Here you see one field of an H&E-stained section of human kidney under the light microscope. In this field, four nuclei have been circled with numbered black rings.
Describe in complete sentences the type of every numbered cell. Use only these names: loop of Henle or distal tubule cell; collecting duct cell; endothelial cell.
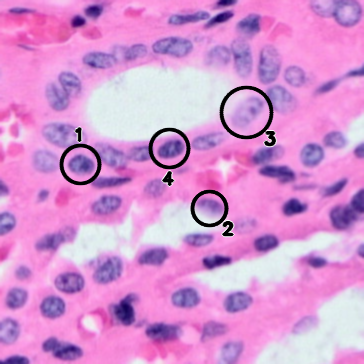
Cell 1 is a collecting duct cell, cell 2 is a loop of Henle or distal tubule cell, cell 3 is a collecting duct cell and cell 4 is a collecting duct cell.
